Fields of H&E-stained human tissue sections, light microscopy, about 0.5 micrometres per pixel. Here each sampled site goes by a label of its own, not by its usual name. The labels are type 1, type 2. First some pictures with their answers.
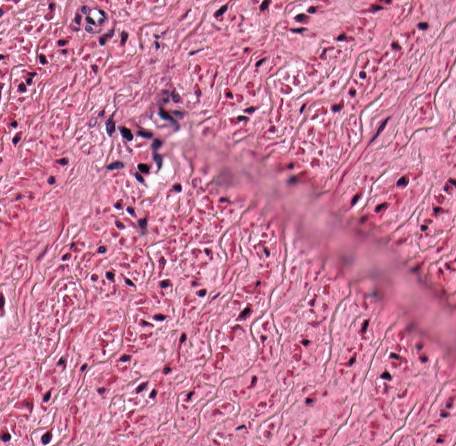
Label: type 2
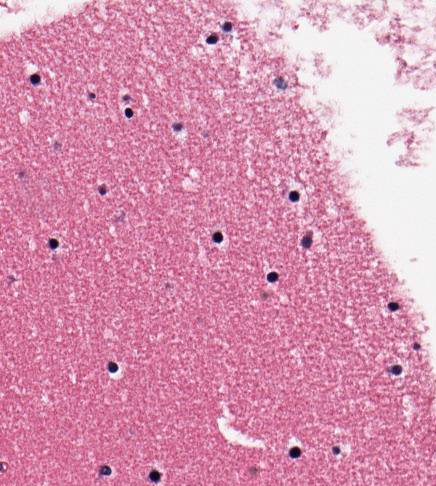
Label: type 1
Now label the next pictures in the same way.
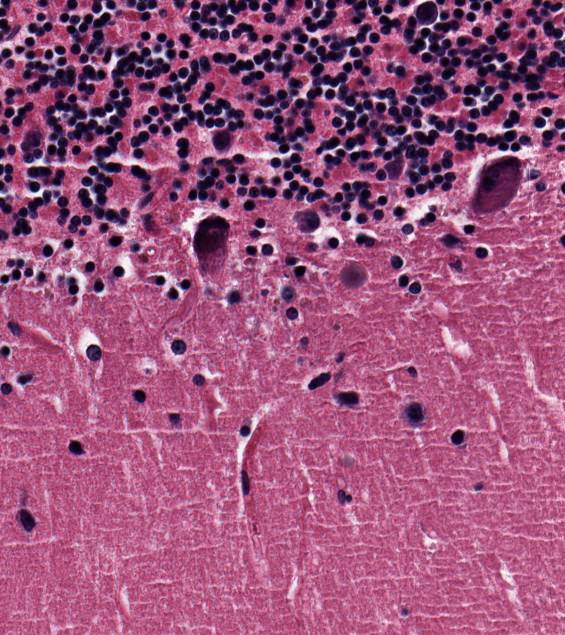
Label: type 1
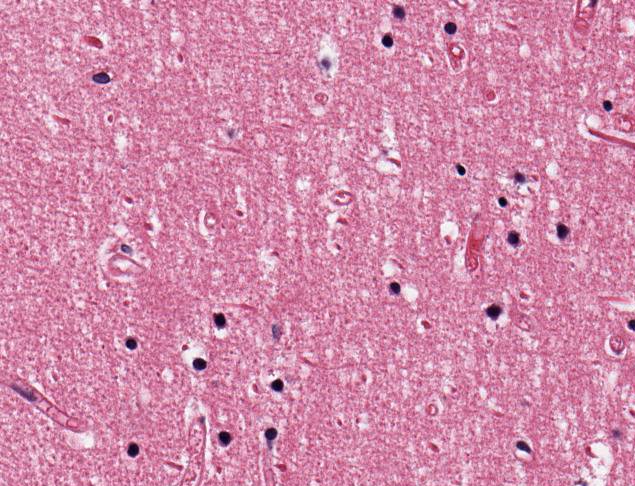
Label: type 1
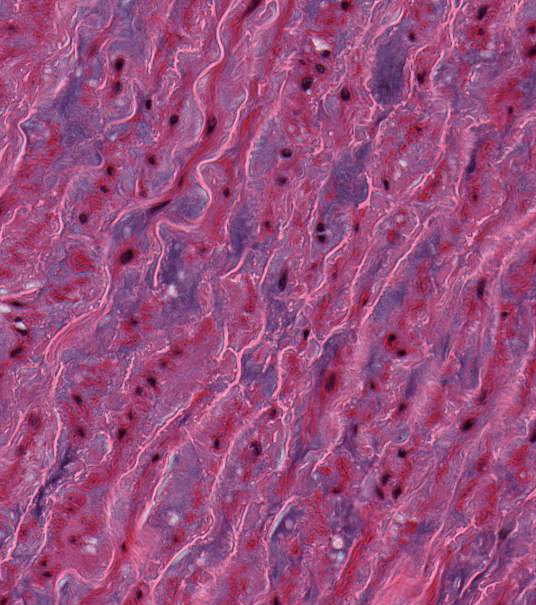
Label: type 2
